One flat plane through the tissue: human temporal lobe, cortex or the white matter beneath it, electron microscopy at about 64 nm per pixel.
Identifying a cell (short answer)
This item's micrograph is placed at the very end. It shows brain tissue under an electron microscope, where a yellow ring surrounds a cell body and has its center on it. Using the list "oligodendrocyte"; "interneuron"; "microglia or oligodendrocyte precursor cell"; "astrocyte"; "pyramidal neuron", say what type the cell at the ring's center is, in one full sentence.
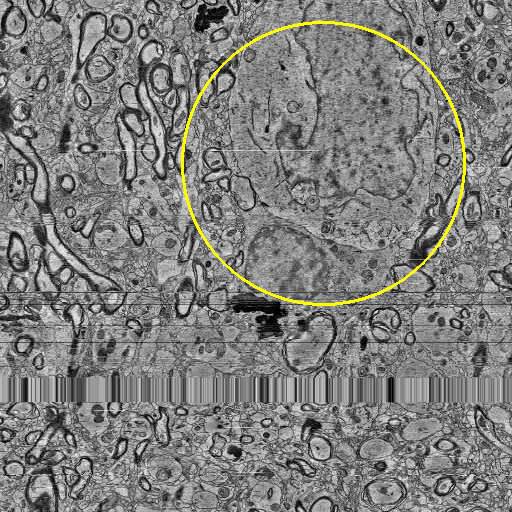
This picture shows an interneuron at the center of the yellow ring drawn on it.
